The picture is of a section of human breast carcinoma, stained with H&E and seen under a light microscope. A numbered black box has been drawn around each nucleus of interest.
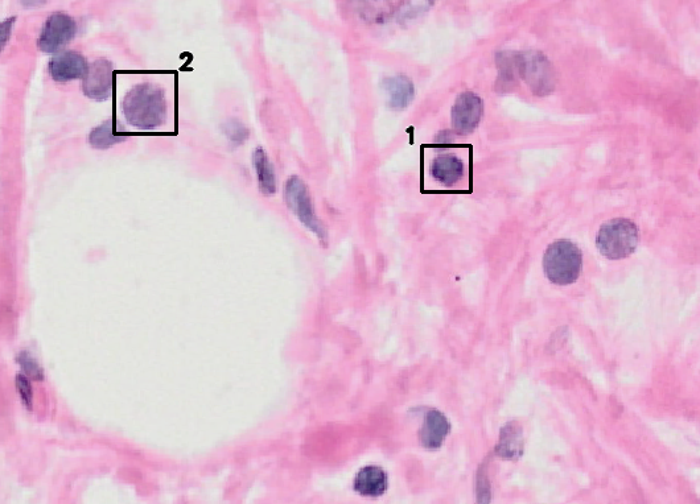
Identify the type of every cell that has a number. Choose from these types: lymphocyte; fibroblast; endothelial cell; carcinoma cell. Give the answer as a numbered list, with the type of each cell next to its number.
1. lymphocyte
2. carcinoma cell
